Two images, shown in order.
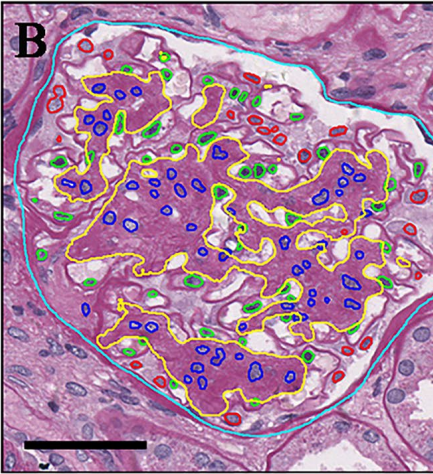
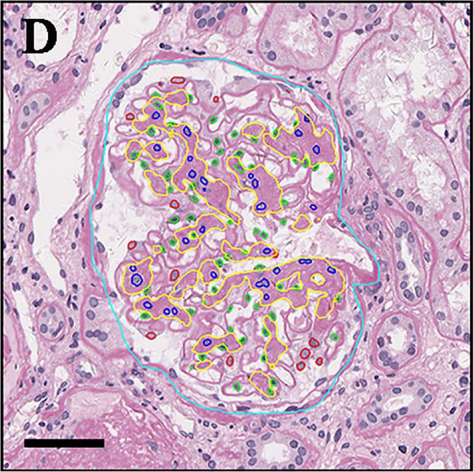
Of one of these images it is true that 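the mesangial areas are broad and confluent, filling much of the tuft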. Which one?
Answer: The first image.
